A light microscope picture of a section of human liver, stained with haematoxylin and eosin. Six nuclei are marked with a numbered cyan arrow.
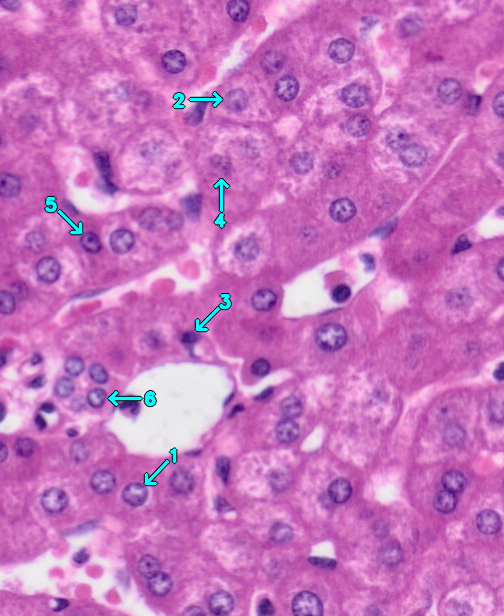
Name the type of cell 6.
cholangiocyte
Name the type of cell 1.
hepatocyte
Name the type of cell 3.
fibroblast or stellate cell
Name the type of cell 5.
hepatocyte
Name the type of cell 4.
hepatocyte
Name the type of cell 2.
hepatocyte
